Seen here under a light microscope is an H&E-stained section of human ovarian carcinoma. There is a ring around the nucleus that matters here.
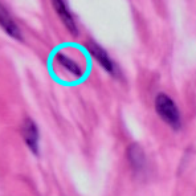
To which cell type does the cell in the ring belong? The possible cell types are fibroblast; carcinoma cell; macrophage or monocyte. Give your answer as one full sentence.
In cellular terms, the cell in the ring is a fibroblast.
